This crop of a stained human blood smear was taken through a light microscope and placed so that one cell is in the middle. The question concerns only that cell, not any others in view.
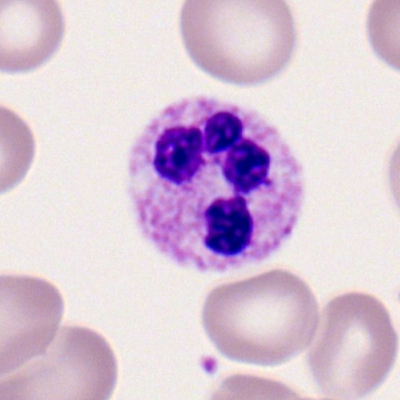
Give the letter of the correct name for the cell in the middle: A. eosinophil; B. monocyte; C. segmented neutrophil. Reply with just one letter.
C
